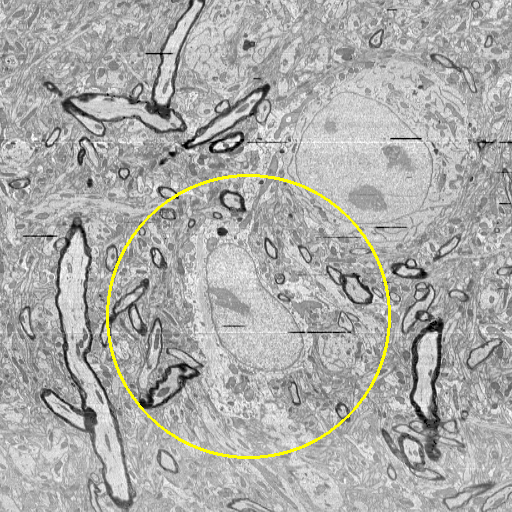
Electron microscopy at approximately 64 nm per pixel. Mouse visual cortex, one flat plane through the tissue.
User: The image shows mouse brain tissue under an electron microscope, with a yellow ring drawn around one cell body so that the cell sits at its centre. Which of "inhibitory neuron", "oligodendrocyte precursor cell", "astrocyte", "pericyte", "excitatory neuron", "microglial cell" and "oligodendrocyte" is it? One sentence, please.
At the centre of the ring sits an astrocyte.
